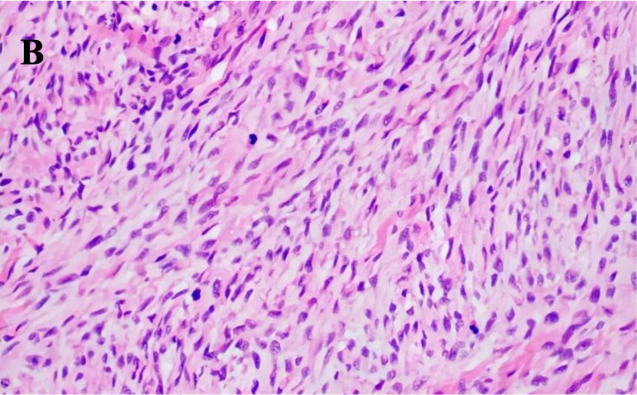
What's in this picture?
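Malignant spindle-shaped tumor cells are arranged in densely packed, intersecting fascicles. Their nuclei are elongated to oval, dark purple and vary in size and shape, with scant pale pink cytoplasm and thin strands of pink collagen between the cells.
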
